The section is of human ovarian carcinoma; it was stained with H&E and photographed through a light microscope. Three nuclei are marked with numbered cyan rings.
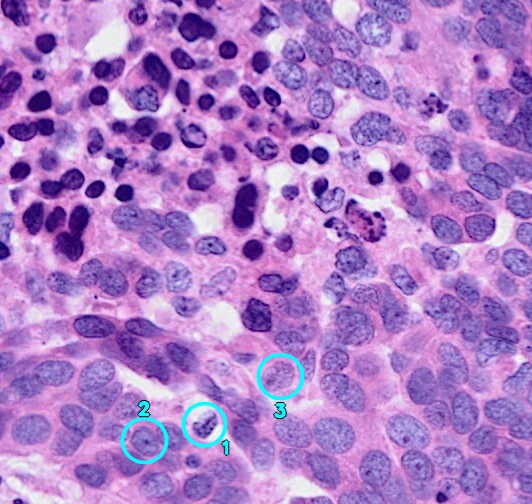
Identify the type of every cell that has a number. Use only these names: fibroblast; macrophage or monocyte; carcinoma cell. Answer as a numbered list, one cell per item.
1. macrophage or monocyte
2. carcinoma cell
3. carcinoma cell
